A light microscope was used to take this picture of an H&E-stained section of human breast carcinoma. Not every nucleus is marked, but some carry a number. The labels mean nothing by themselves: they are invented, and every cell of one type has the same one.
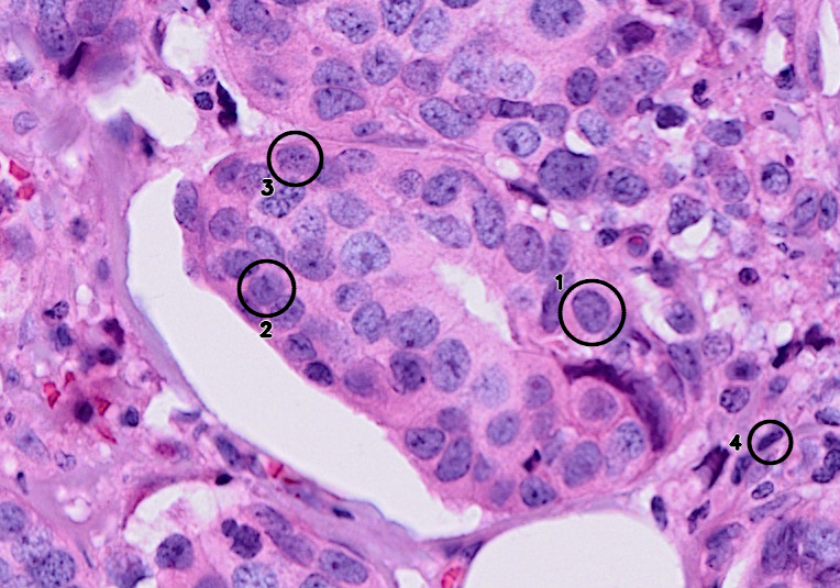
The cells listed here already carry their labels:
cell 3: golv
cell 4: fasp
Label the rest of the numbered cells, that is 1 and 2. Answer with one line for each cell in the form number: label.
1: golv
2: golv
